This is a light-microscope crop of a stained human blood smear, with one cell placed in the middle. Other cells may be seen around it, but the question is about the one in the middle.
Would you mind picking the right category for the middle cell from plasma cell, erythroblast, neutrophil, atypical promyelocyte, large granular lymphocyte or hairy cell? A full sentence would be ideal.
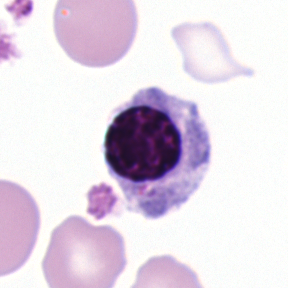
In the middle of this smear crop is an erythroblast.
